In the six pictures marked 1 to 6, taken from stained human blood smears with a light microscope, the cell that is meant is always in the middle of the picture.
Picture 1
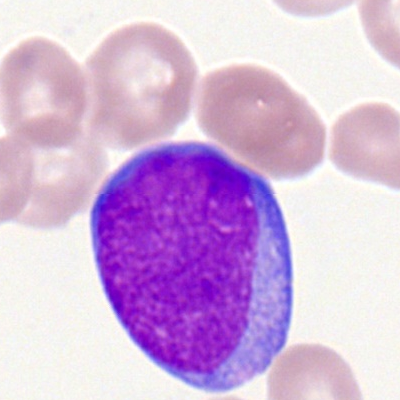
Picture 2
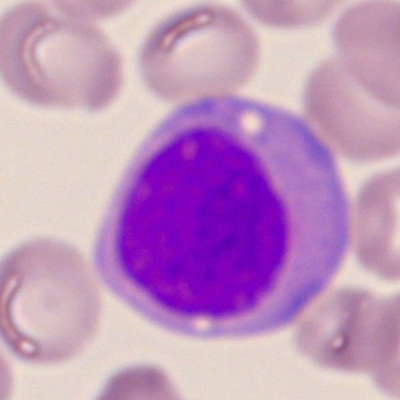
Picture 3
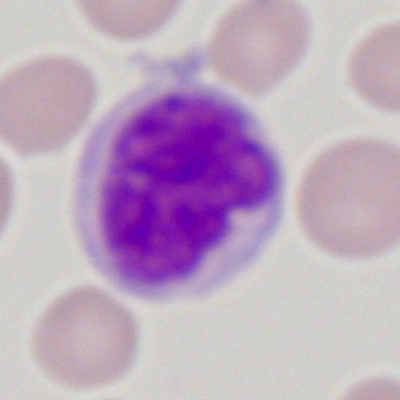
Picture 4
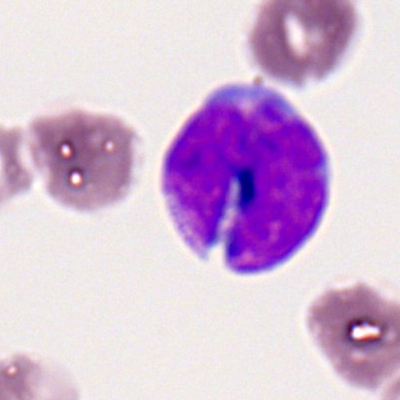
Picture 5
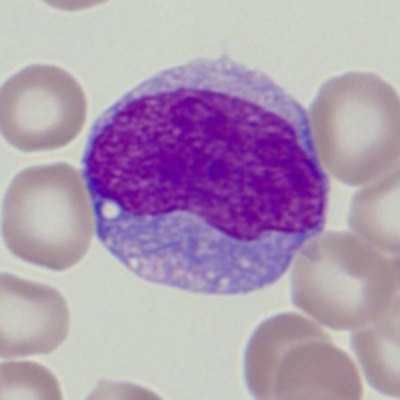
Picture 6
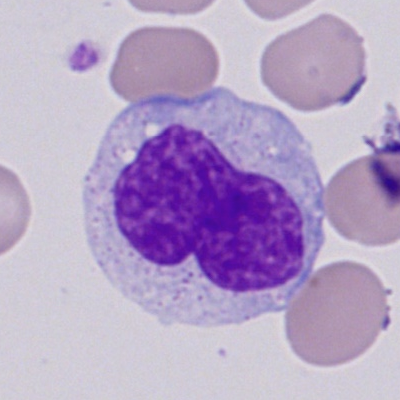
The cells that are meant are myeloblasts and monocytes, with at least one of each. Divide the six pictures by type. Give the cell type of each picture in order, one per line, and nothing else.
myeloblast
myeloblast
monocyte
myeloblast
monocyte
monocyte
